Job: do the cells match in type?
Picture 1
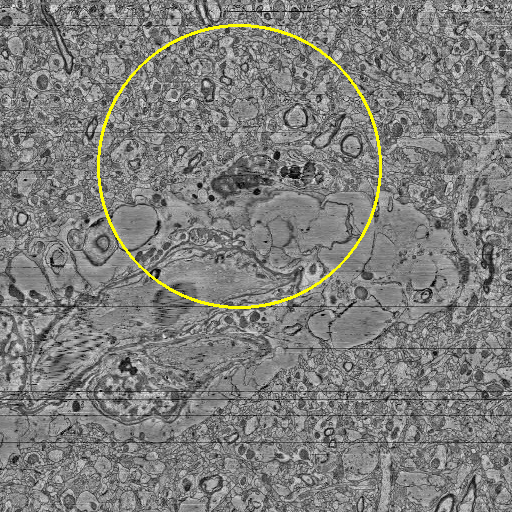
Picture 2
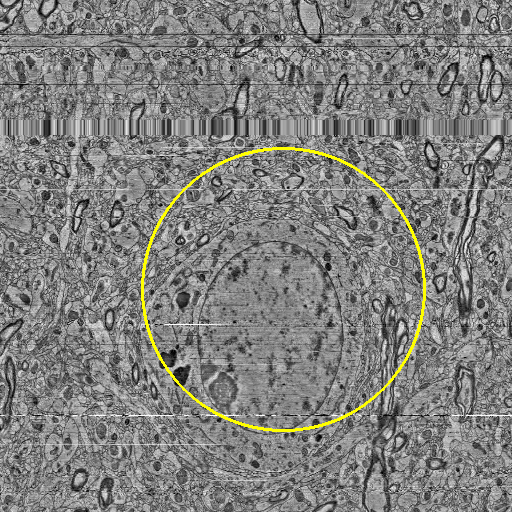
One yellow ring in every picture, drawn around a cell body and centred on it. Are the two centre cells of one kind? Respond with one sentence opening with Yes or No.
No, the ringed cells in the two pictures are of two separate kinds.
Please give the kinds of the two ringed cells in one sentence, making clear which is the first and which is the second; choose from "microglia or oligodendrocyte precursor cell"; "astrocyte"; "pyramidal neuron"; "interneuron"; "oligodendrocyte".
In the second picture the ringed cell is a pyramidal neuron; in the first it is a microglial cell or oligodendrocyte precursor cell.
